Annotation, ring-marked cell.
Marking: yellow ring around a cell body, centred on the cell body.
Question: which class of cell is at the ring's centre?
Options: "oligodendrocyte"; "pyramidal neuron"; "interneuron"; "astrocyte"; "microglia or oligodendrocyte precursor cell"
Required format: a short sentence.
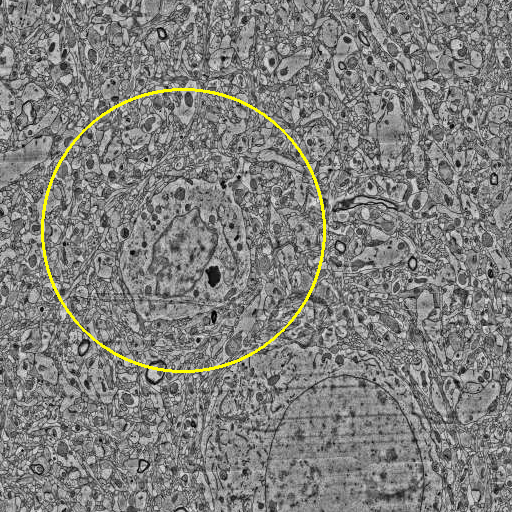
At the ring's centre is an interneuron.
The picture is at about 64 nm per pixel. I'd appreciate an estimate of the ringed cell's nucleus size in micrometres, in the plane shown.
About 6 micrometres by about 4 micrometres in this plane.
